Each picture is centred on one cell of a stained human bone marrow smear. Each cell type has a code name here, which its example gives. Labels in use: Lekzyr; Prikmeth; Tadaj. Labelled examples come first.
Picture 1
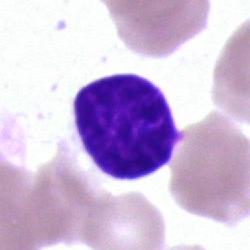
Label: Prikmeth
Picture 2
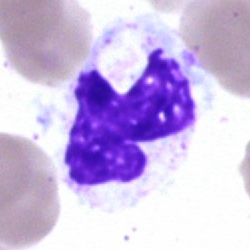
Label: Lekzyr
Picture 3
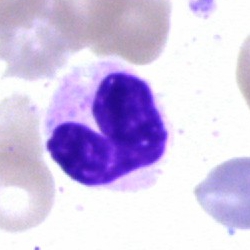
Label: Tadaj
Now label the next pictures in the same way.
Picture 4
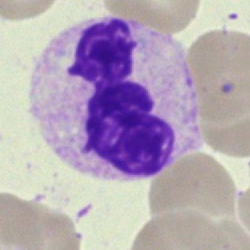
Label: Lekzyr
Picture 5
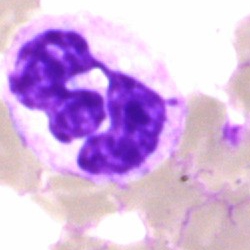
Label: Lekzyr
